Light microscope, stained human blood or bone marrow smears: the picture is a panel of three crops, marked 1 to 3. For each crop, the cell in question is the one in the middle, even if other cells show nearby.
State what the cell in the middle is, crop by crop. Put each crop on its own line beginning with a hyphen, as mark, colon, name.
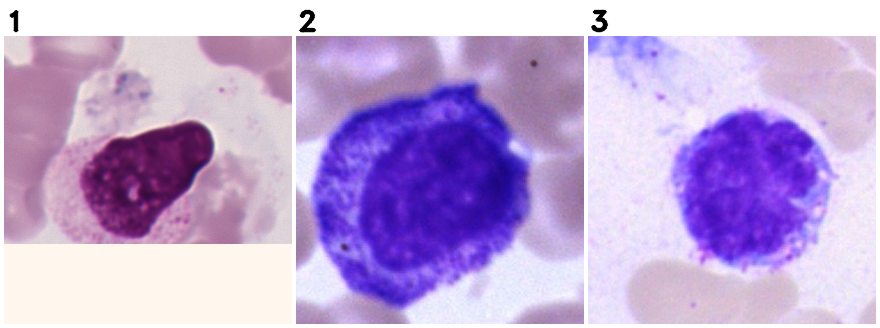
- 1: band neutrophil
- 2: promyelocyte
- 3: monocyte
